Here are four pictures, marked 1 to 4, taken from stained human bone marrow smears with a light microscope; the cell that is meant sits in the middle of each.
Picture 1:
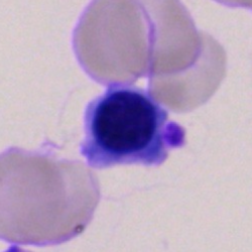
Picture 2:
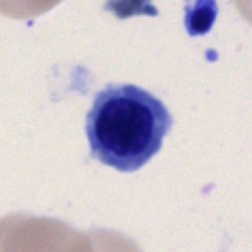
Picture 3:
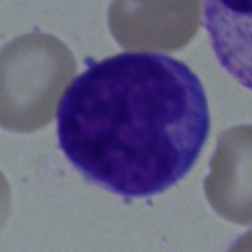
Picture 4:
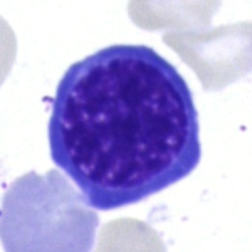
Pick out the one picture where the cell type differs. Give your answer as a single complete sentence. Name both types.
The others show erythroblasts, but picture 3 shows a blast.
